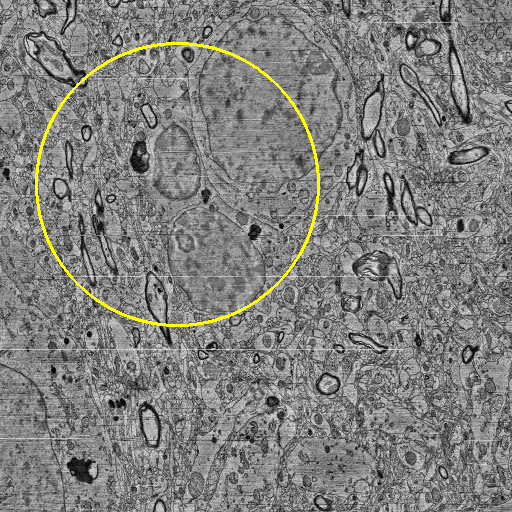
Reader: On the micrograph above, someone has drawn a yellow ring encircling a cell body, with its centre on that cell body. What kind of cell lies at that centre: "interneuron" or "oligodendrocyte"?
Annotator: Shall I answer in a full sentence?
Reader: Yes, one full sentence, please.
Here an oligodendrocyte sits at the centre of the yellow ring drawn on the micrograph.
